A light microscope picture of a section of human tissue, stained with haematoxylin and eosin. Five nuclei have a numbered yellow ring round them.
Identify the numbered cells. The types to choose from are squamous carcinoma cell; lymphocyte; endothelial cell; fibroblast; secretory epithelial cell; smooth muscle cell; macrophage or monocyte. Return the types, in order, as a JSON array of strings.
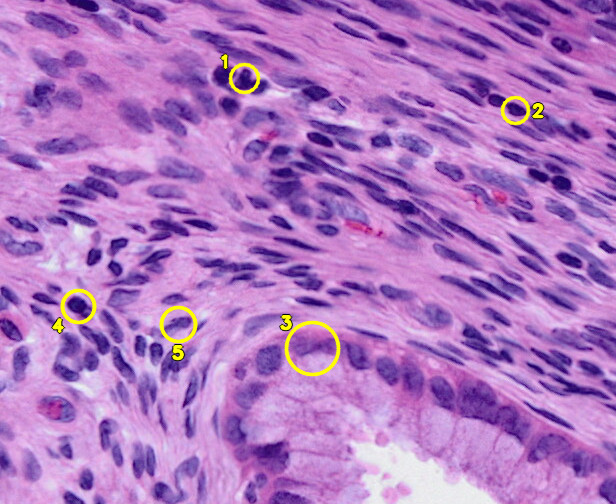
["lymphocyte", "lymphocyte", "secretory epithelial cell", "lymphocyte", "fibroblast"]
